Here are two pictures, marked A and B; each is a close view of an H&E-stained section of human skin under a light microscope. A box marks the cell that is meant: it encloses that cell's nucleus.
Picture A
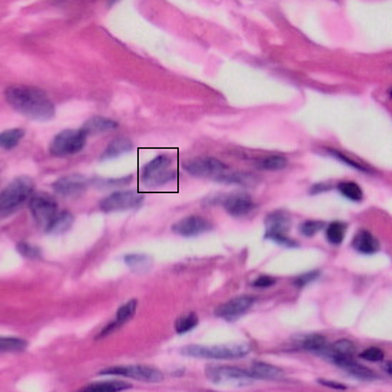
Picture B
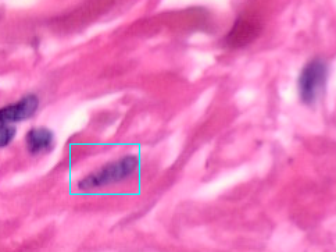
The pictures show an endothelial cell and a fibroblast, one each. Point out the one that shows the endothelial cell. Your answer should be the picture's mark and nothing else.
A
